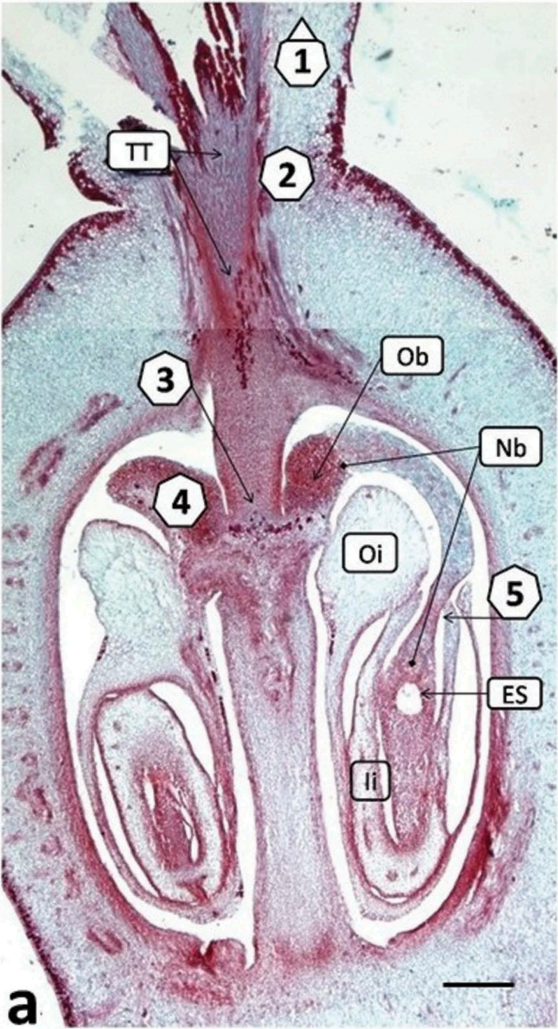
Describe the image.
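A long section through a flask-shaped organ: a narrow neck at the top with a red-stained streaked core runs down into a swollen base, where it spreads into a central column flanked by two large bodies each wrapped in two layered coats with pale blue-green tissue and red-stained inner zones. A small clear cavity sits within the inner tissue of the right body. This is the pistil with its style and two ovules, each with outer and inner integuments around the nucellus and embryo sac.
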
